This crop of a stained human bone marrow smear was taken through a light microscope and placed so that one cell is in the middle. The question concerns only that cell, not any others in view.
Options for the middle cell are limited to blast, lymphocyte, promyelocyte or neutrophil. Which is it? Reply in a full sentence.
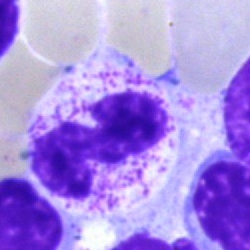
At the center of the crop sits a neutrophil.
